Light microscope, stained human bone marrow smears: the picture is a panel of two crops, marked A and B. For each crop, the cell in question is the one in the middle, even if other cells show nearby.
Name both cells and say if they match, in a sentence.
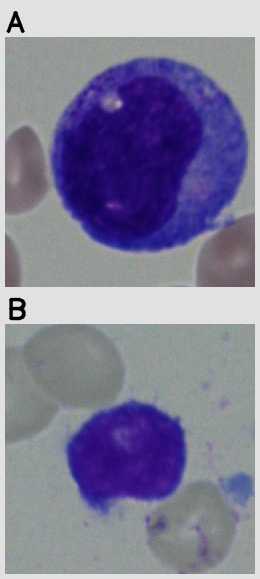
No, for crop A the cell is a promyelocyte, and for crop B it is a blast.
